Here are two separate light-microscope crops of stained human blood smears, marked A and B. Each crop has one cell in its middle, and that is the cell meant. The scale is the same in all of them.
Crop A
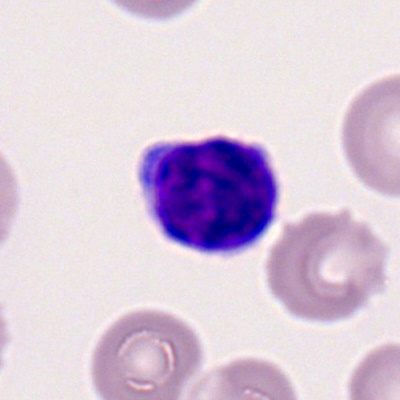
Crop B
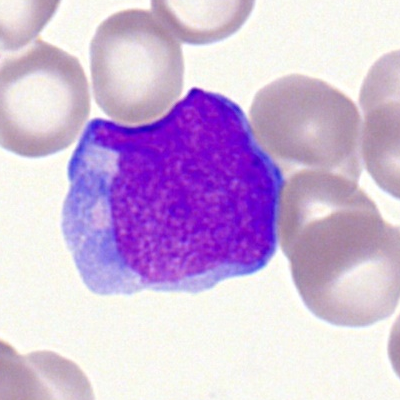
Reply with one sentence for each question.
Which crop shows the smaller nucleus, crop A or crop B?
Crop A shows the smaller nucleus, since that in crop B covers about 1.5 times as much area.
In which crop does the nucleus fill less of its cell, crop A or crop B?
The nucleus fills less of the cell in crop B than in crop A.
